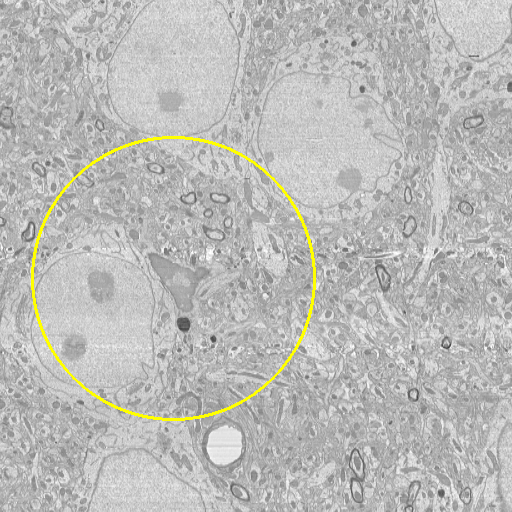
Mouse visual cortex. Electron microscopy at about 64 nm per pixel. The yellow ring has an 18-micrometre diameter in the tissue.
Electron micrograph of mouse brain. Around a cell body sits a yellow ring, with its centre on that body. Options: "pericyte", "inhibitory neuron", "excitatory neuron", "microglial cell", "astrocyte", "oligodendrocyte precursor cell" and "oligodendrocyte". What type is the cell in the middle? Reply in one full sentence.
The cell sitting at the centre of the yellow ring is a microglial cell.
